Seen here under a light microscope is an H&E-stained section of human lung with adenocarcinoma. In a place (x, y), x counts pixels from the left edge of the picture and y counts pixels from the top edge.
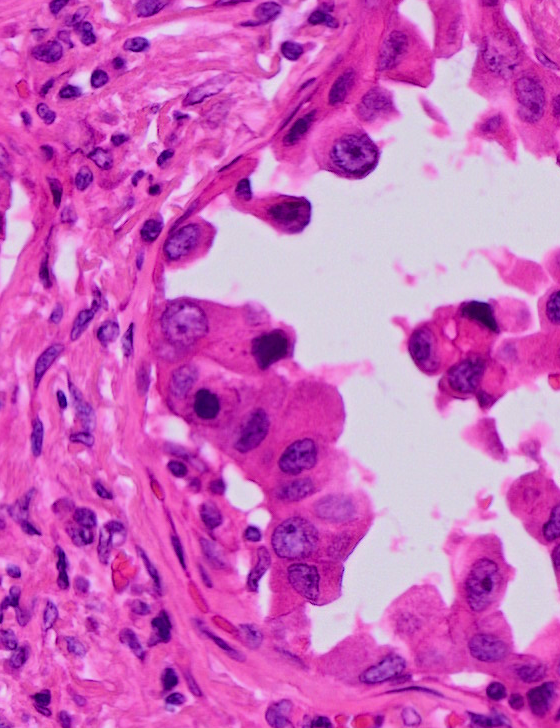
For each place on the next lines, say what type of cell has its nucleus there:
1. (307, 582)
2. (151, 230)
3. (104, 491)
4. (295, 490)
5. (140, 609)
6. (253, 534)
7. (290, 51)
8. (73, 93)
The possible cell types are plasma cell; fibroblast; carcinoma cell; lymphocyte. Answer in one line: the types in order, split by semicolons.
carcinoma cell; plasma cell; plasma cell; carcinoma cell; plasma cell; lymphocyte; lymphocyte; plasma cell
